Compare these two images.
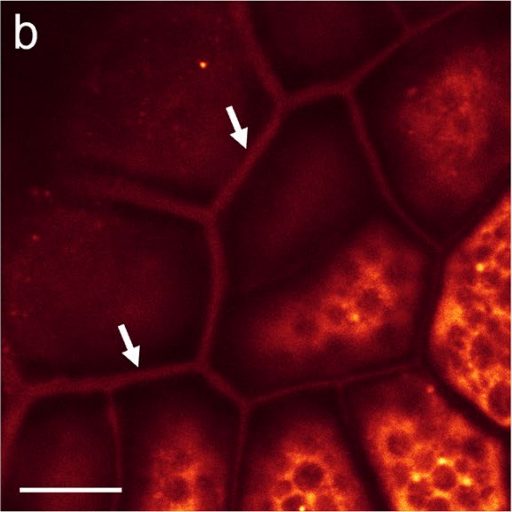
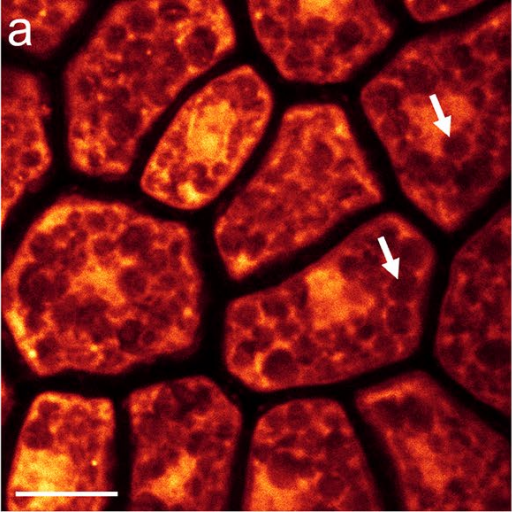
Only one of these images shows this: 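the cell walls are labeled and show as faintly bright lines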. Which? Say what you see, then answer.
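First image: thin faintly glowing red lines run between the cells. Second image: the borders between cells are dark, with fluorescence only inside the cells. That points to this answer: the first image.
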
